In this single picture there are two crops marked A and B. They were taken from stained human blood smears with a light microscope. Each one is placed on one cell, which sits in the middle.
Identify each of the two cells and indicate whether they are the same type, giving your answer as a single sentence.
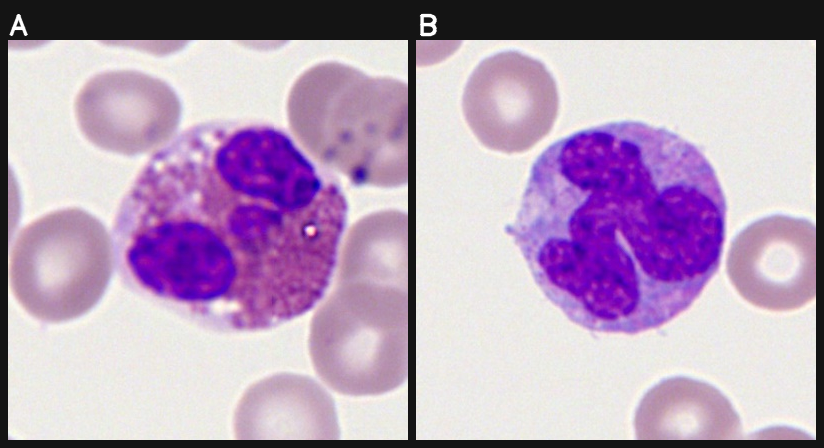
No, on this set crop A shows an eosinophil and crop B shows a monocyte.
